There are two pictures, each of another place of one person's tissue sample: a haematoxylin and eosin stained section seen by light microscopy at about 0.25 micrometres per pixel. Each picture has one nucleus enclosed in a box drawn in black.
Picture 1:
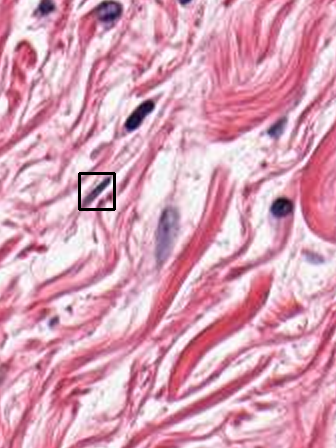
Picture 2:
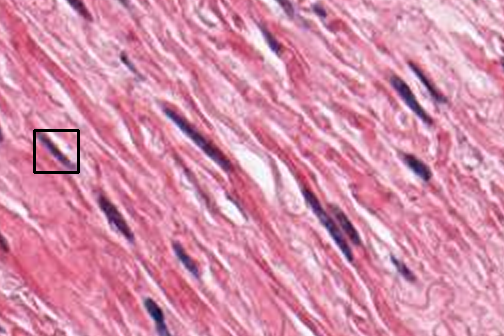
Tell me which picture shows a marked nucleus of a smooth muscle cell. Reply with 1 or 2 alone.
2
